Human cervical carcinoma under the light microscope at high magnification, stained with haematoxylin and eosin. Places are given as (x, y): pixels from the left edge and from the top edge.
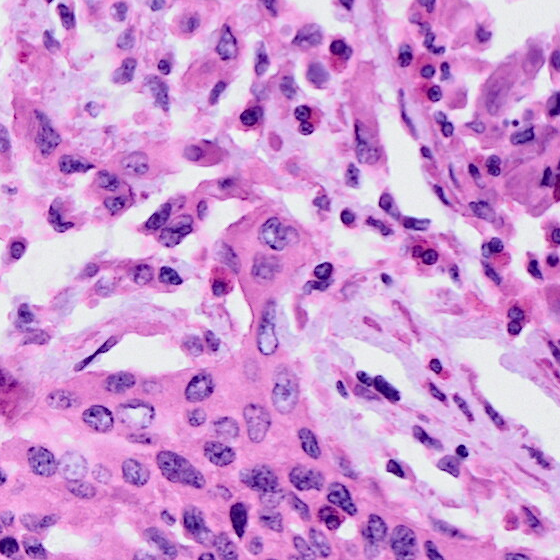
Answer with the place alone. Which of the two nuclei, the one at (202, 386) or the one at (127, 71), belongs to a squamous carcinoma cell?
(202, 386)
